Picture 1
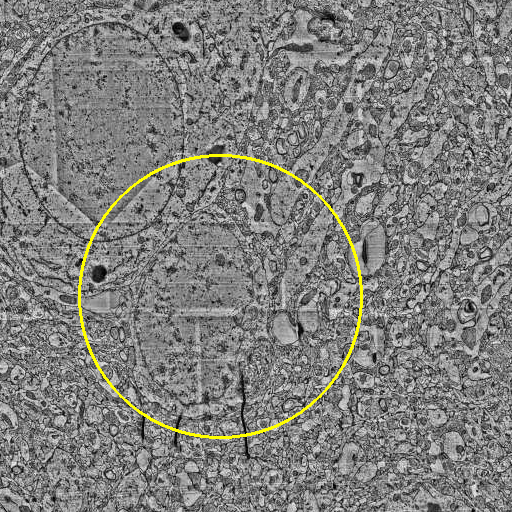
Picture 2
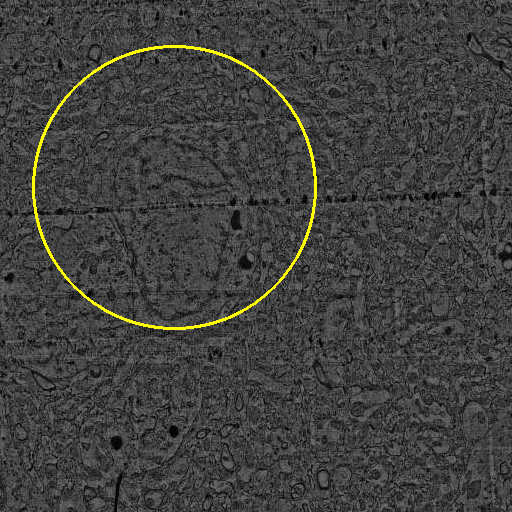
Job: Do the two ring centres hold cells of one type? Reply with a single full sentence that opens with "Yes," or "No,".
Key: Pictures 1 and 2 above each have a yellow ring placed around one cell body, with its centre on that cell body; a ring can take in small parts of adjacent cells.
Yes, the cells at the two ring centres are of one single type.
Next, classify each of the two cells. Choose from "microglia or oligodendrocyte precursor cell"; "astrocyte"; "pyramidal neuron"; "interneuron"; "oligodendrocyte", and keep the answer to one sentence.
Each of the two rings is centred on an interneuron.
